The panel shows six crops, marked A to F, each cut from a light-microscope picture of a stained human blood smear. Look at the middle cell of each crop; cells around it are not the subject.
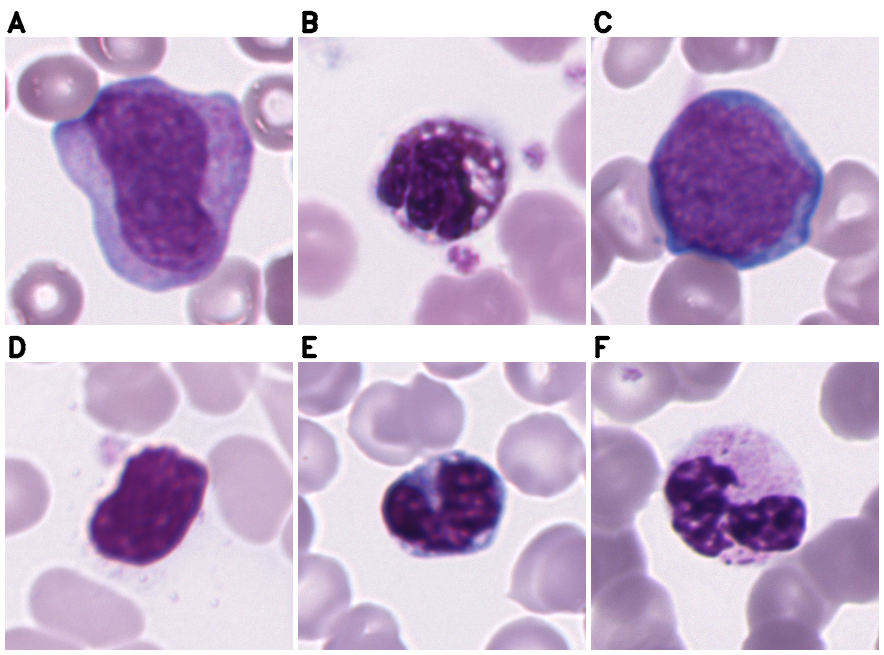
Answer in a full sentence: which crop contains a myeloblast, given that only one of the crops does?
Here the crop that shows a myeloblast is crop C.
